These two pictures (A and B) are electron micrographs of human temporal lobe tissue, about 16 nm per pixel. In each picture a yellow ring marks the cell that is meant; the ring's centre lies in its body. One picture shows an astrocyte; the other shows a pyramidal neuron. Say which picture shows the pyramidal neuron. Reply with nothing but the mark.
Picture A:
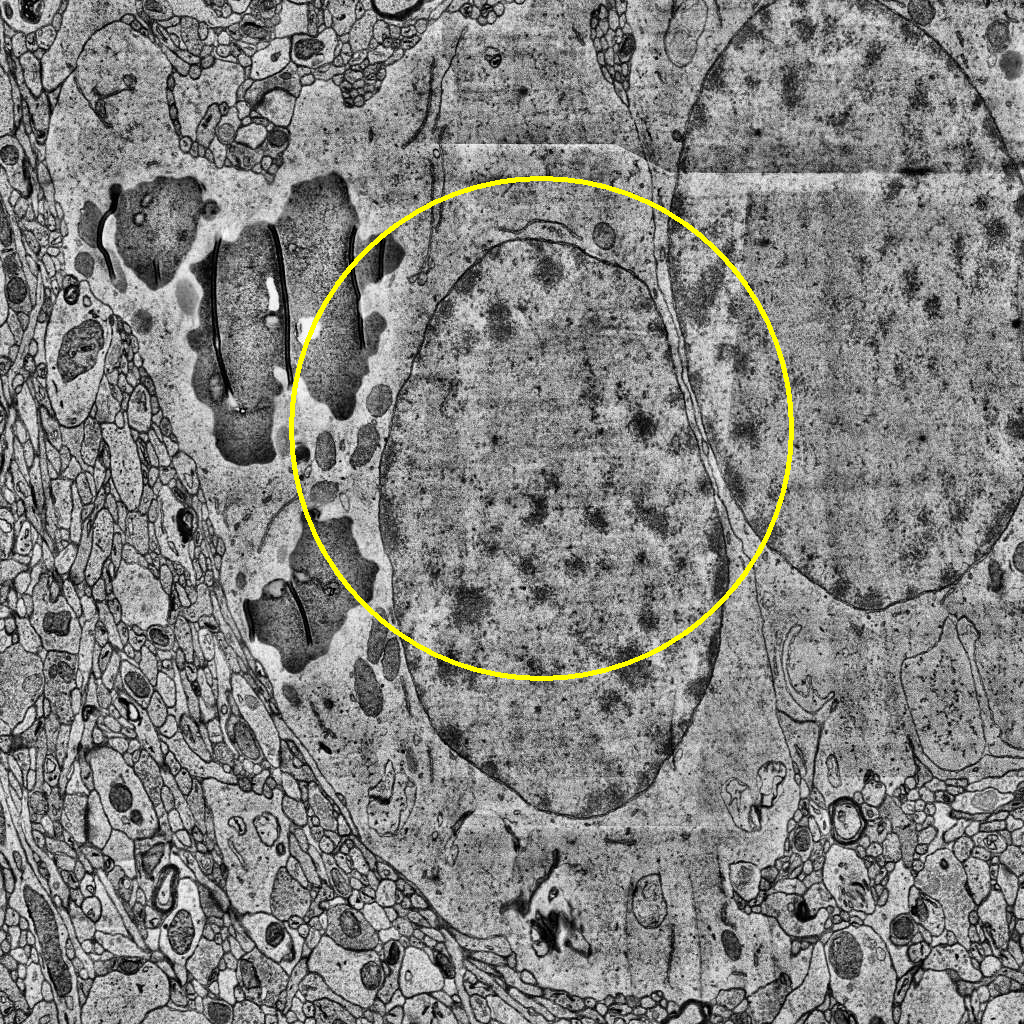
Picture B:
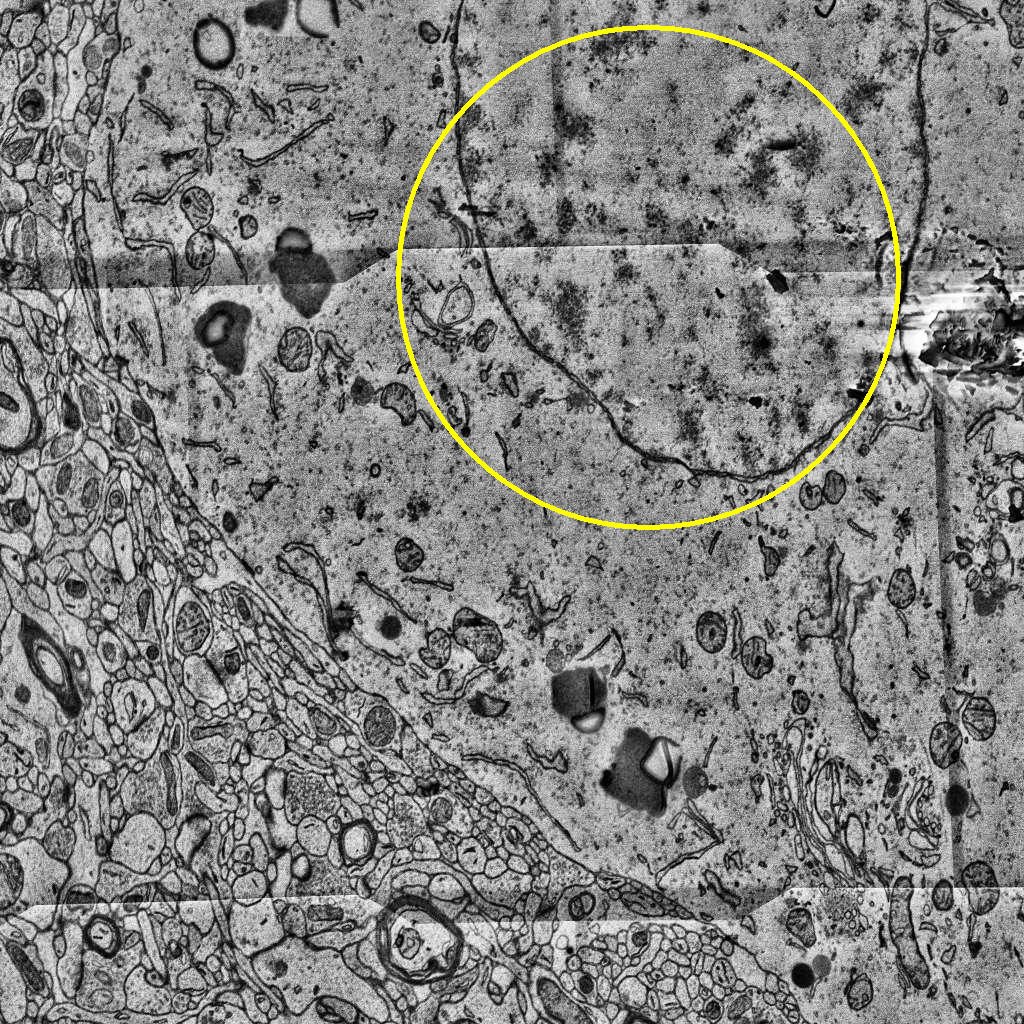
B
